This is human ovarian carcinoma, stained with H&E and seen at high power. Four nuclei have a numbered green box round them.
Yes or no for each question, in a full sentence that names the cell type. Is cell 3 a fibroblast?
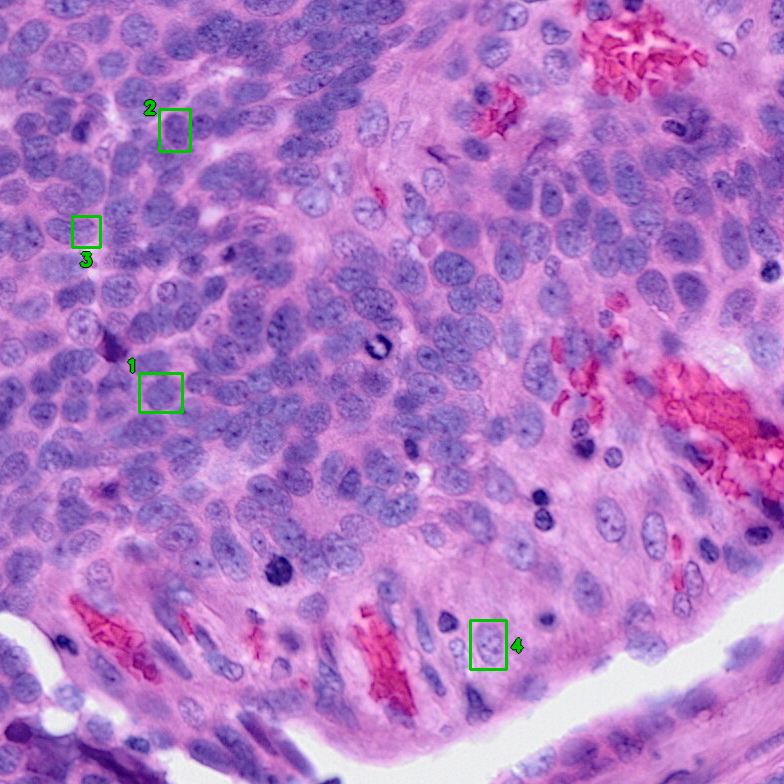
No, the cell identified by number 3 is a carcinoma cell, not a fibroblast.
